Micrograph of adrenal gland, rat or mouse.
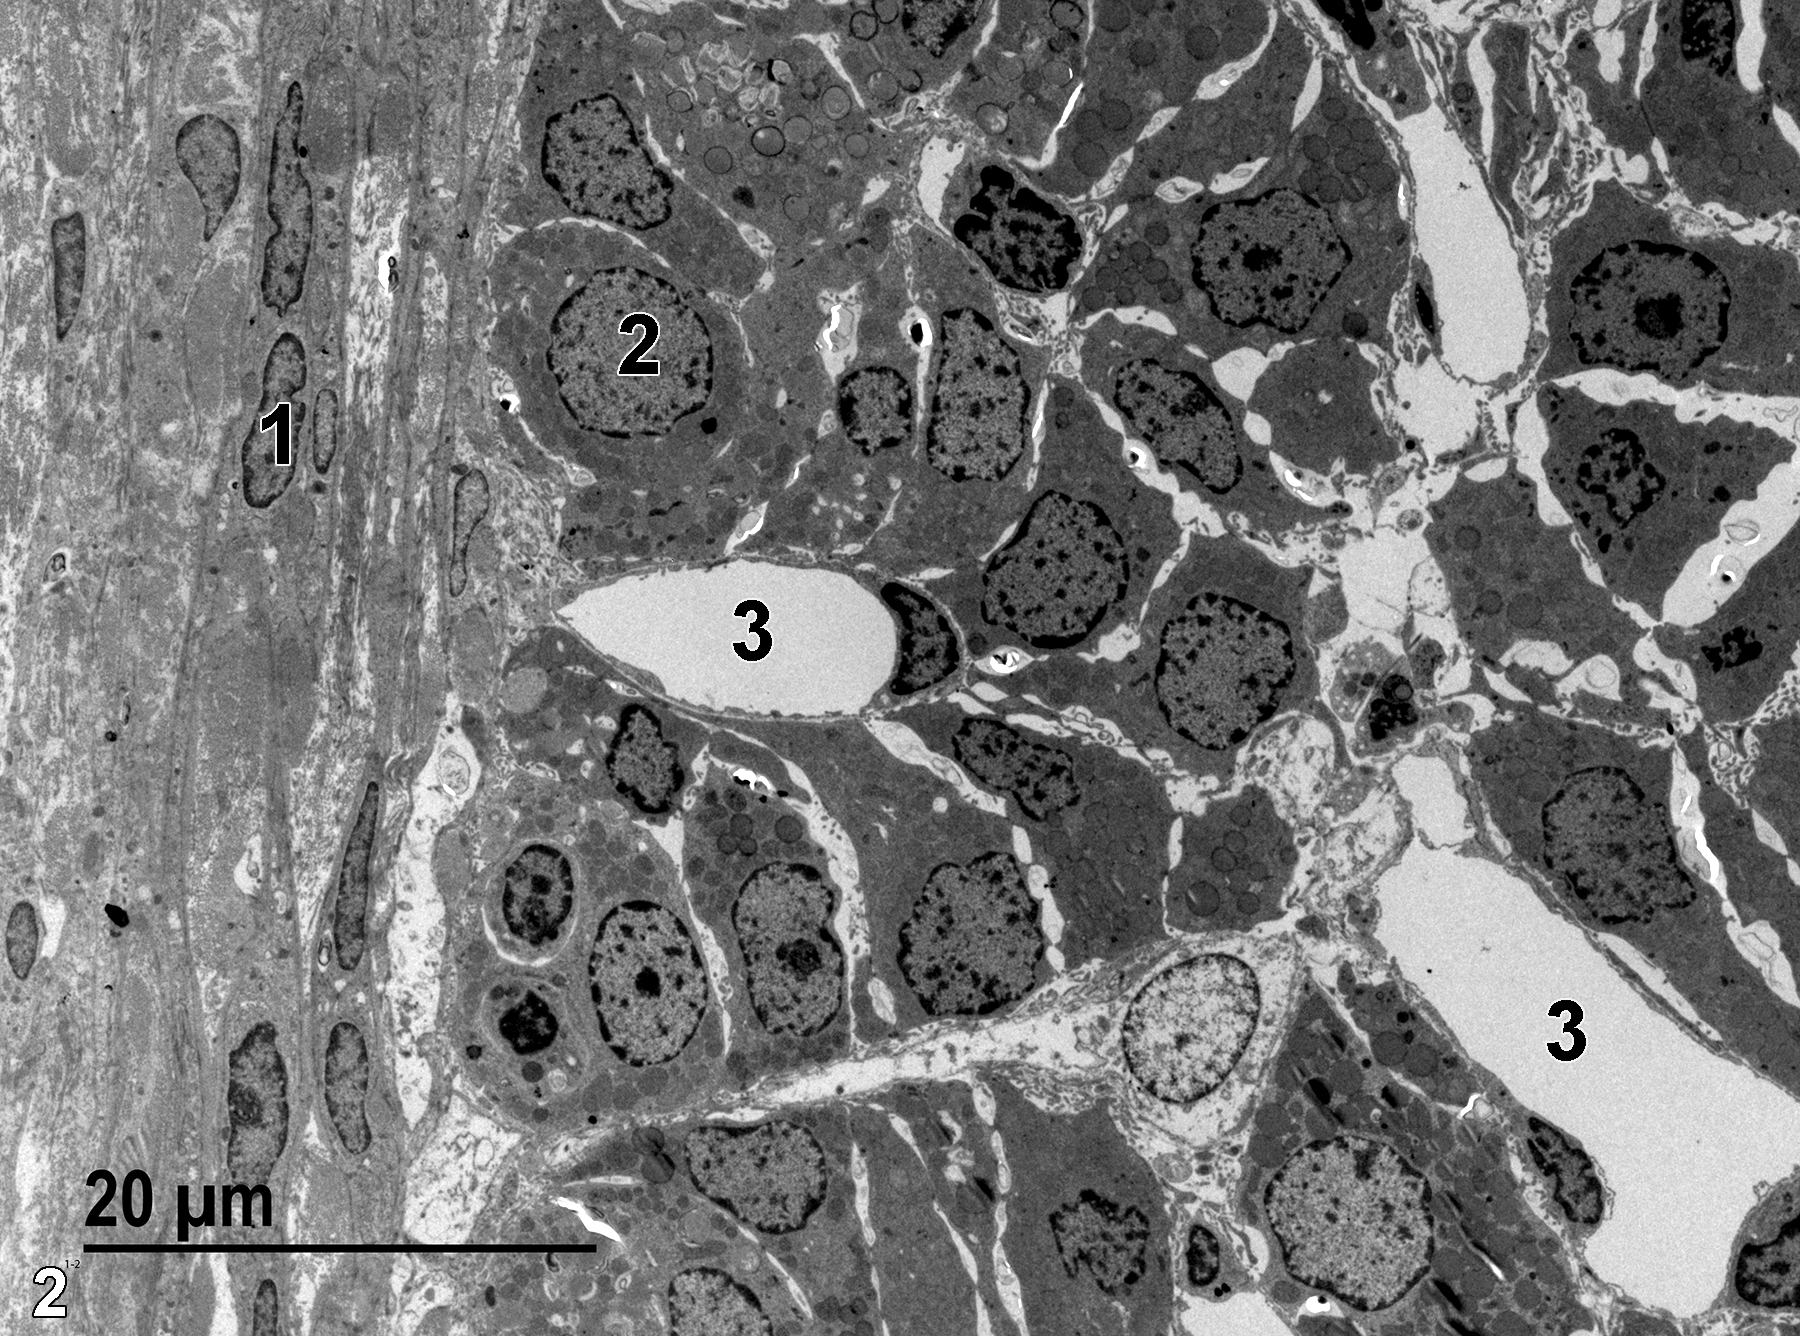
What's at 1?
At 1: nucleus of a capsular smooth muscle cell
